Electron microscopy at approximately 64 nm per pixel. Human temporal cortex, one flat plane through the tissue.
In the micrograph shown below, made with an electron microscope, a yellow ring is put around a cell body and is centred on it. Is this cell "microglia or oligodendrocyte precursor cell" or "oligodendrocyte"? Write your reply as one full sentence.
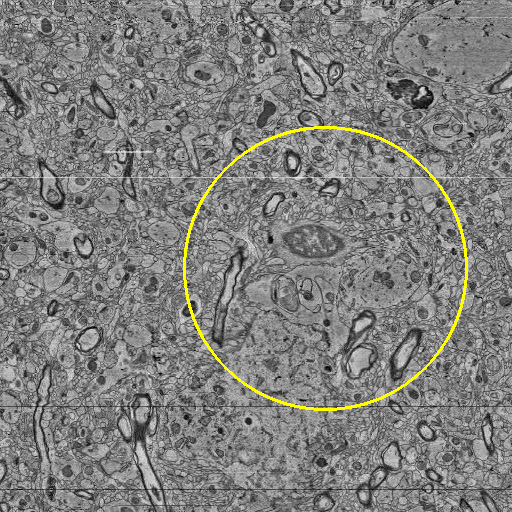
In the micrograph, an oligodendrocyte is the cell at the centre of the yellow ring.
